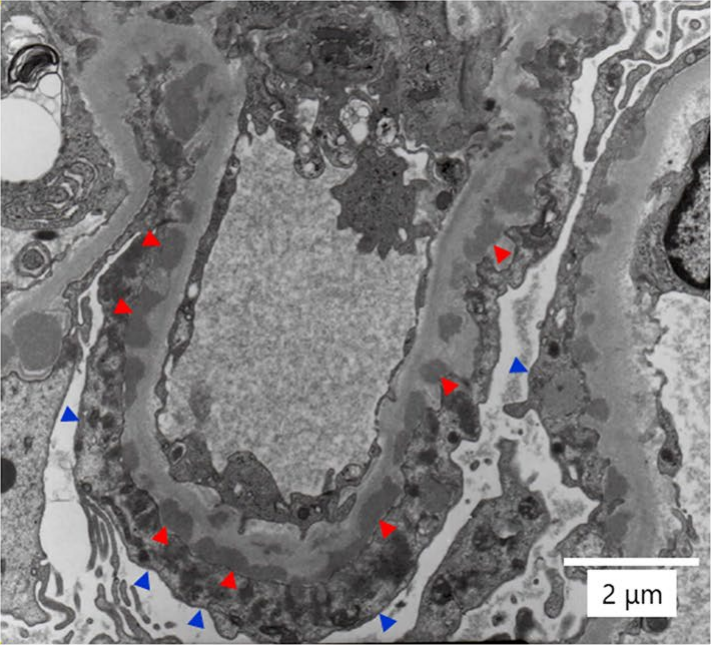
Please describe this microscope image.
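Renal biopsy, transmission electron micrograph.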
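Glomerular capillary loop with a thick grey basement membrane surrounding a lumen filled with fine granular material. Dark granular deposits are scattered along the outer side of the membrane beneath the overlying epithelial cytoplasm. The epithelial cells on the urinary side form a flattened, continuous layer in which separate foot processes are largely lost.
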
